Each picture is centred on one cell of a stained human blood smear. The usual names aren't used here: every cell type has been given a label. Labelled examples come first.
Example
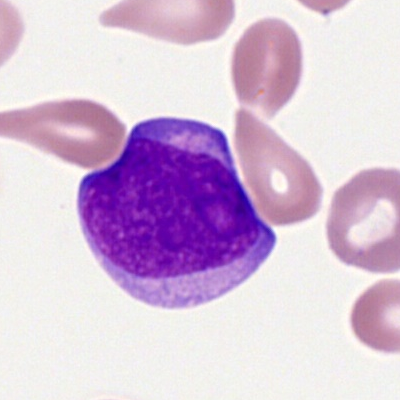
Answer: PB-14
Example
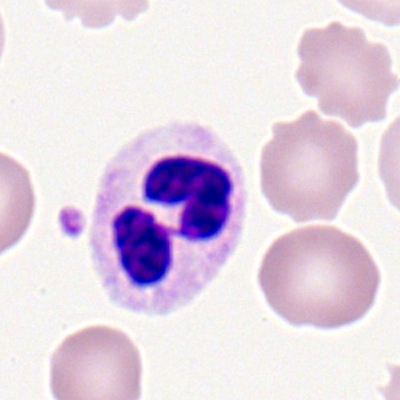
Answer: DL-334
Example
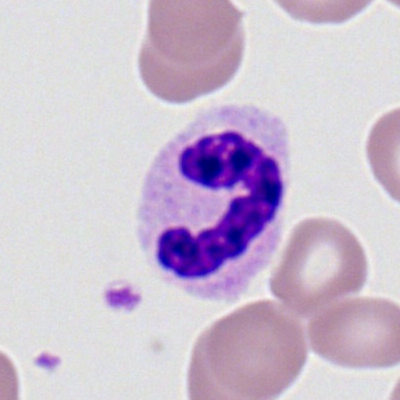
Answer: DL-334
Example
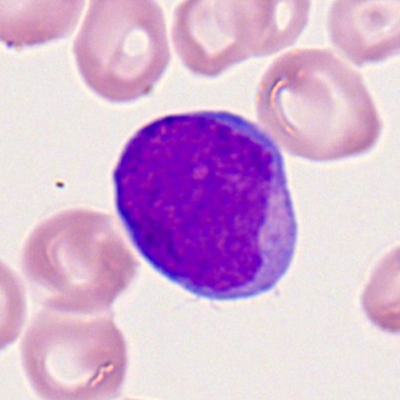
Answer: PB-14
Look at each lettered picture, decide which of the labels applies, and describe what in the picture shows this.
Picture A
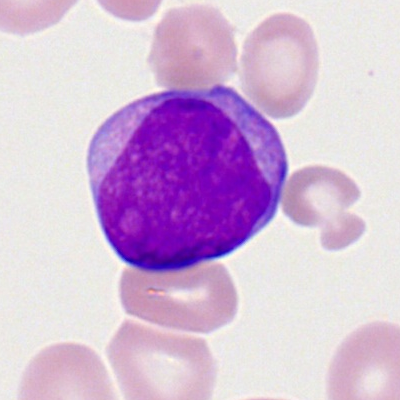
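Label: PB-14. The nucleus is a single unlobed mass that fills most of the cell.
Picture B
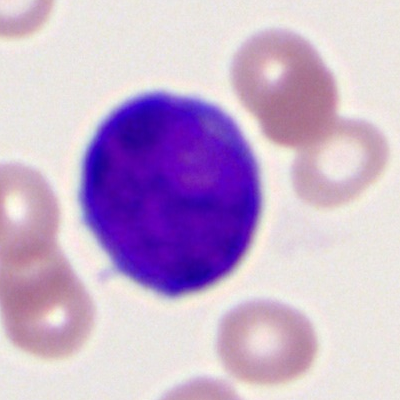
Label: PB-14. Only a very thin rim of cytoplasm shows at the edge.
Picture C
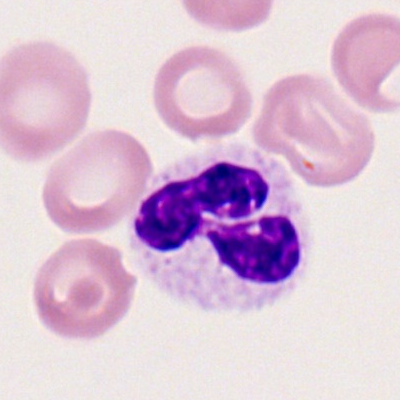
Label: DL-334. The cytoplasm is plentiful and pale pinkish-lilac.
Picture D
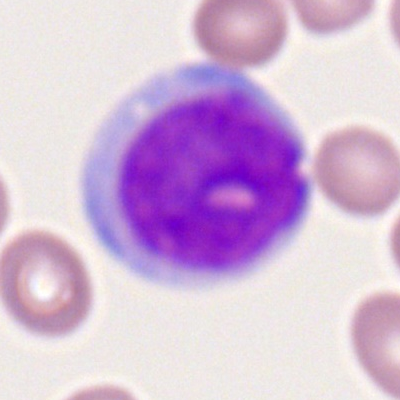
Label: PB-14. The cytoplasm is a narrow rim that is wider on the left side than on the right.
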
